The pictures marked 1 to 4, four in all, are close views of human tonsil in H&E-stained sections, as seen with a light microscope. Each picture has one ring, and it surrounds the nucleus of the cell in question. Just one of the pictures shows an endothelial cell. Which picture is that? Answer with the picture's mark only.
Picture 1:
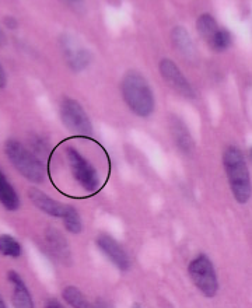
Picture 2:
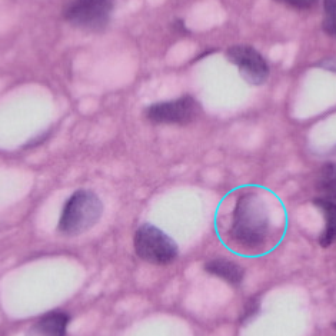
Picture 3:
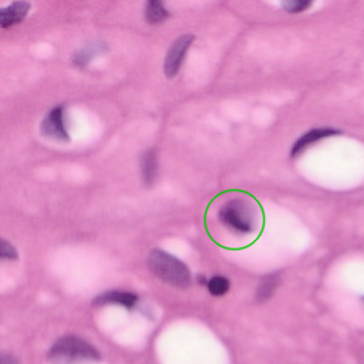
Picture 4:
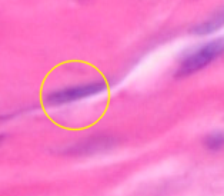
4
